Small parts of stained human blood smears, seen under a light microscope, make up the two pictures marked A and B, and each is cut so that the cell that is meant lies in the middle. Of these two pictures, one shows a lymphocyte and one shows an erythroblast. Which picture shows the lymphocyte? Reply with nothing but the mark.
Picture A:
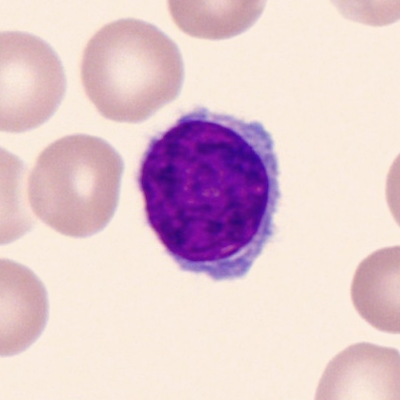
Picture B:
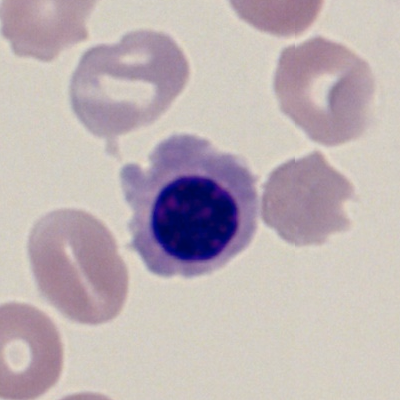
A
